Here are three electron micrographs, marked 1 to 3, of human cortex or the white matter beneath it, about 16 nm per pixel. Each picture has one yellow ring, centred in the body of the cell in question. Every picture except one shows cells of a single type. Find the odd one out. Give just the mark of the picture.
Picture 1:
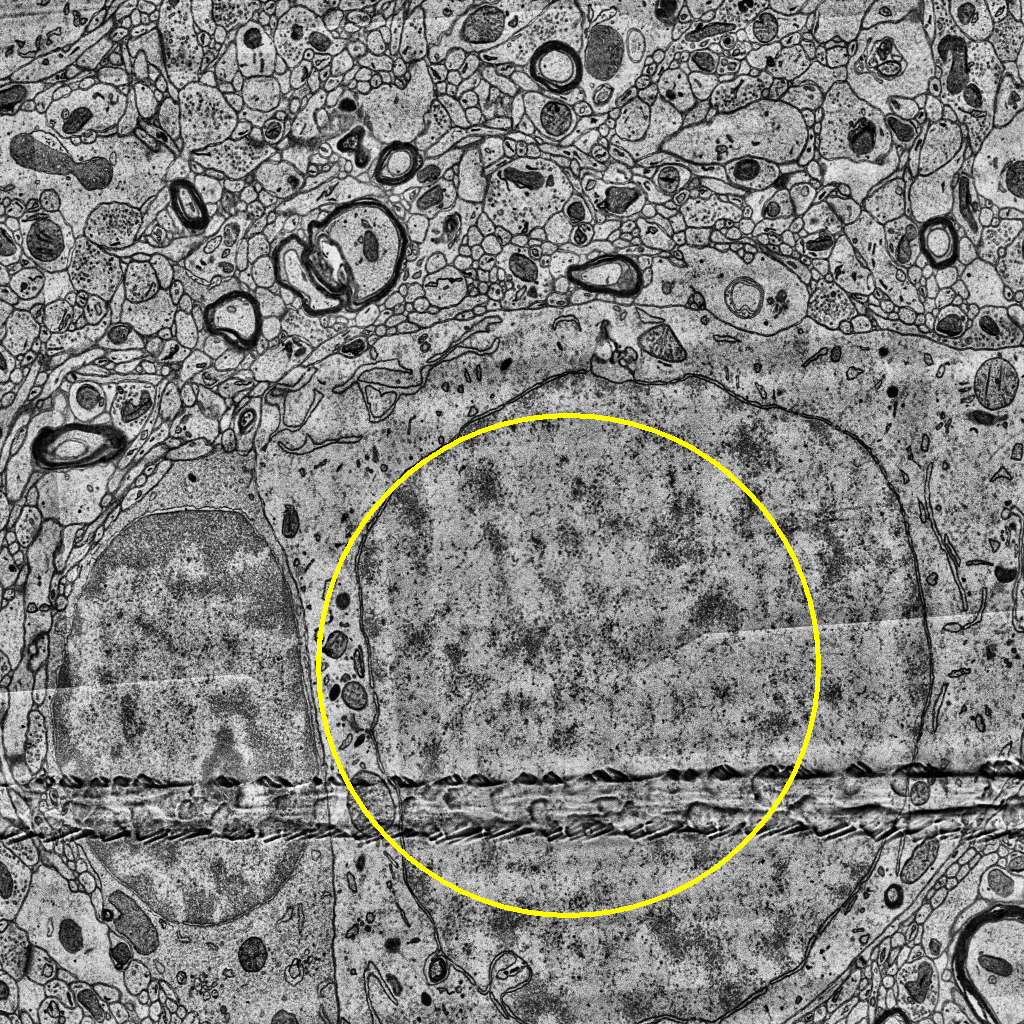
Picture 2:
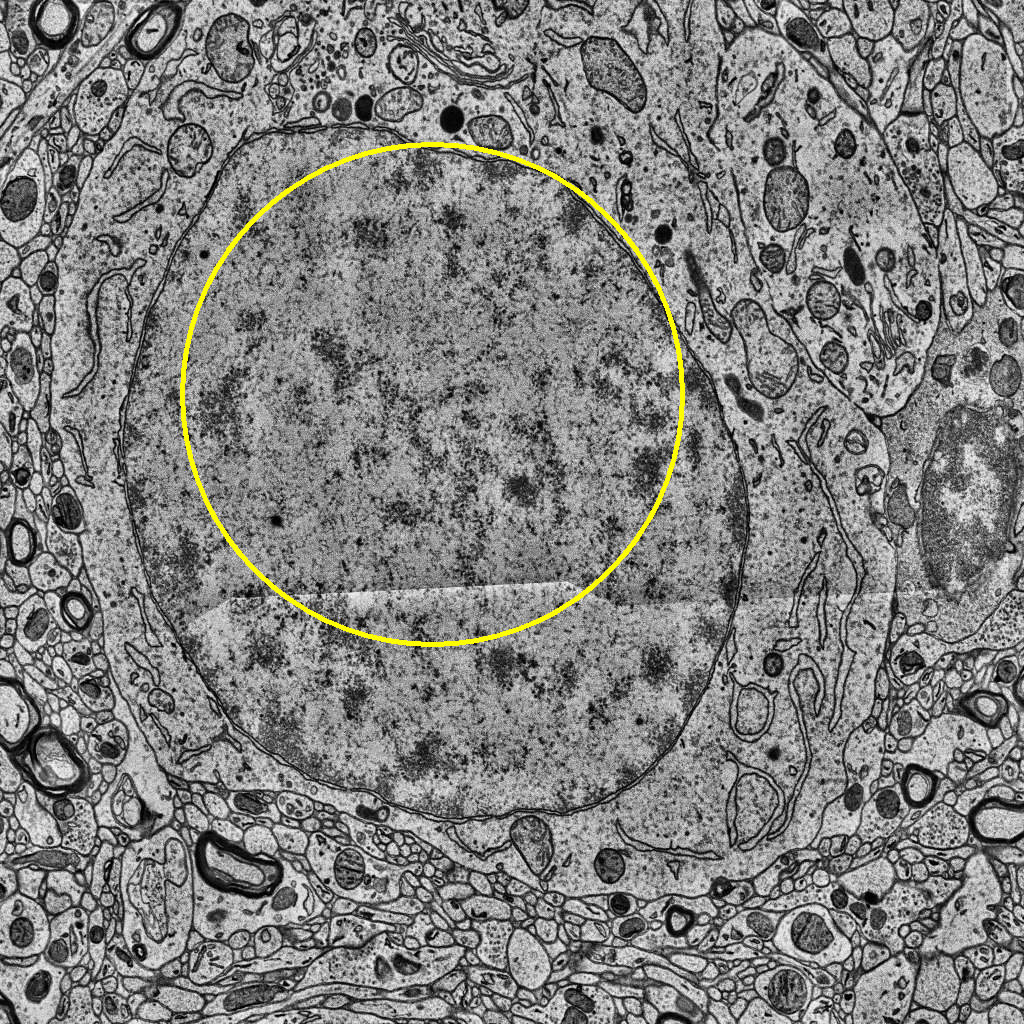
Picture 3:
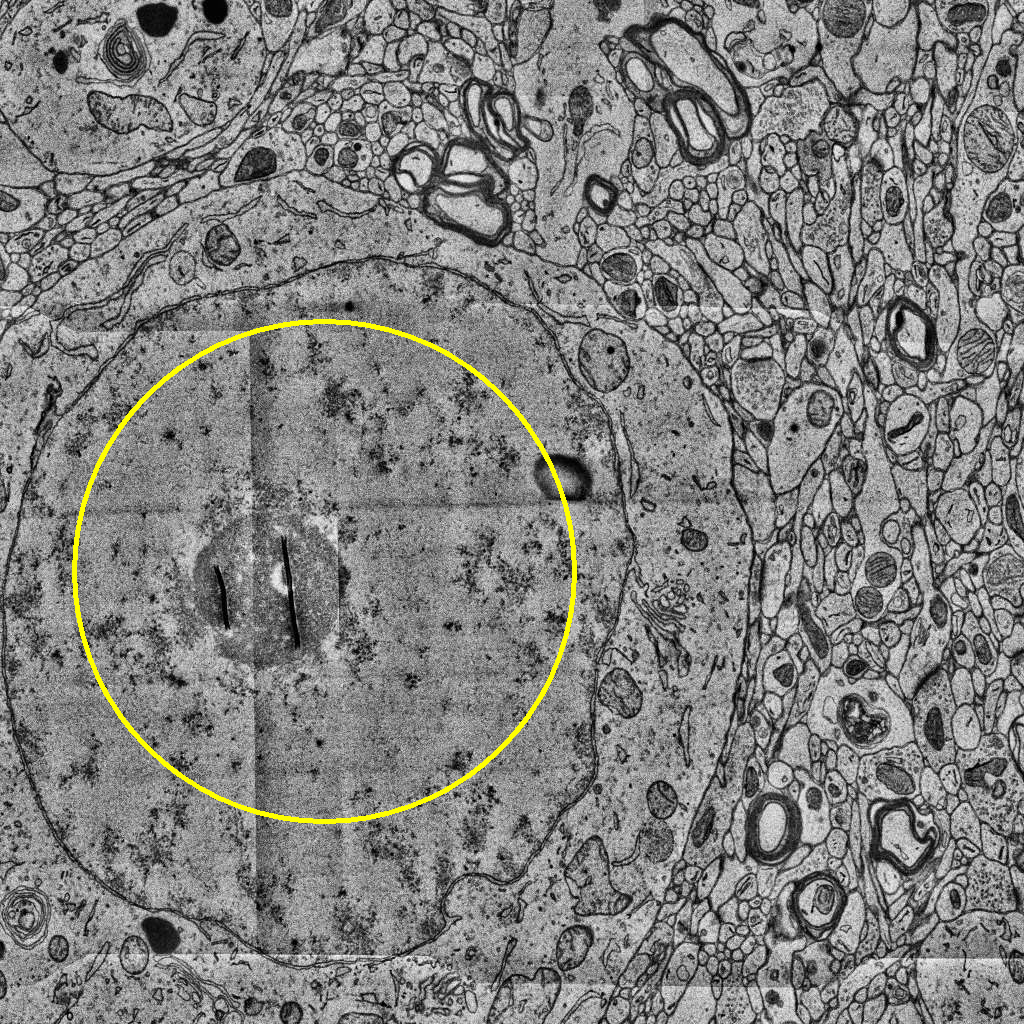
2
